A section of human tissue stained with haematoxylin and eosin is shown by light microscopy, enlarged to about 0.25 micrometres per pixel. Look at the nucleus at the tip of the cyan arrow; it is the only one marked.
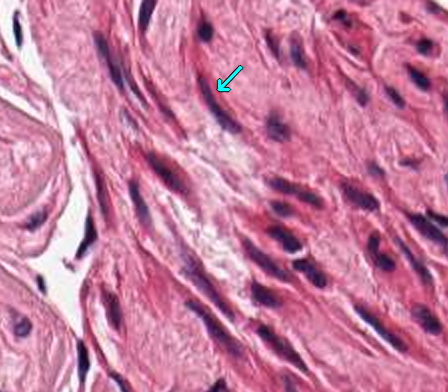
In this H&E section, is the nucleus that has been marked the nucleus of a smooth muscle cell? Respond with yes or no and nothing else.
yes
